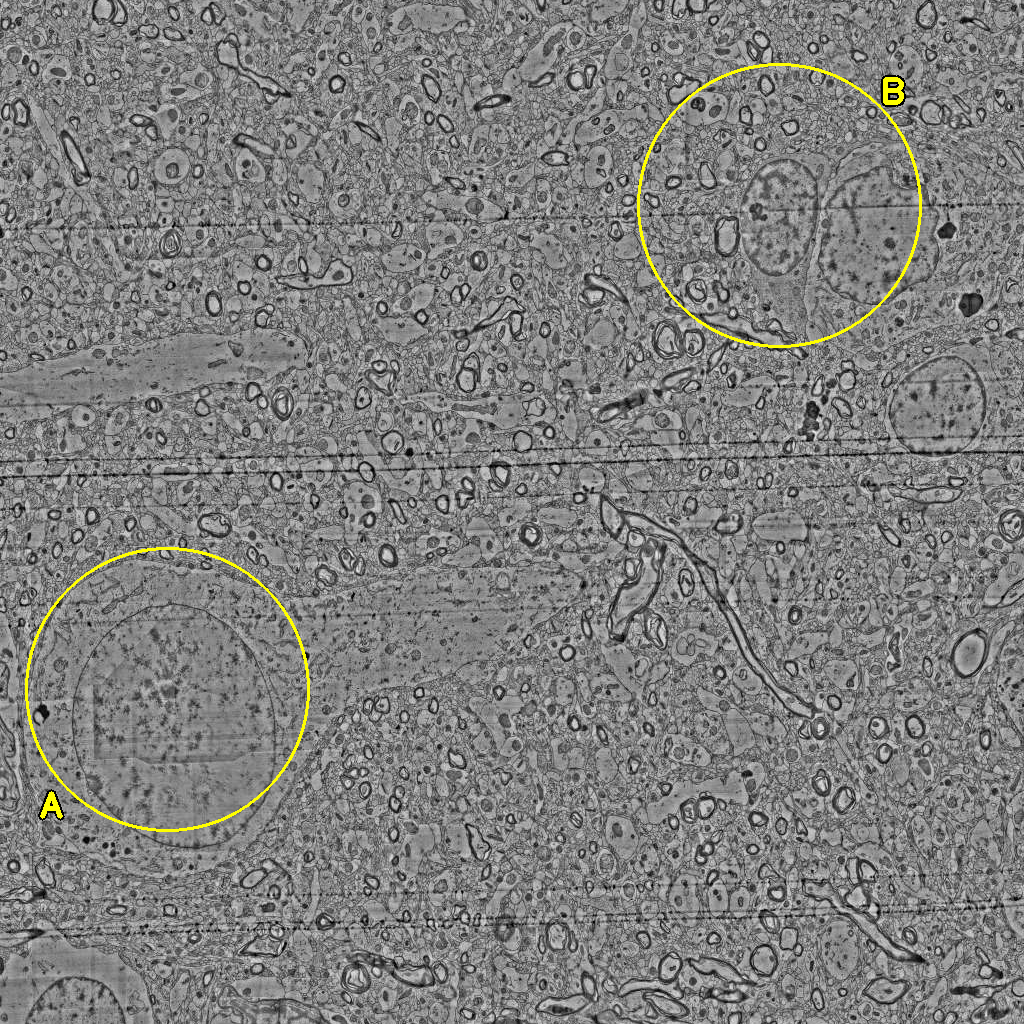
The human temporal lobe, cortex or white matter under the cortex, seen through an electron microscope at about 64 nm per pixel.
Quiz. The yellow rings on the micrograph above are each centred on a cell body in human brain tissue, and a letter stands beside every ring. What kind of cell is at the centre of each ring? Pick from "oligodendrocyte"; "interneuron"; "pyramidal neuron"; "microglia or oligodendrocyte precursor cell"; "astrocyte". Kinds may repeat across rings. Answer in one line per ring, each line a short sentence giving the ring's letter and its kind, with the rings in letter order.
The ring labelled A has a pyramidal neuron at its centre.
The ring labelled B has an oligodendrocyte at its centre.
